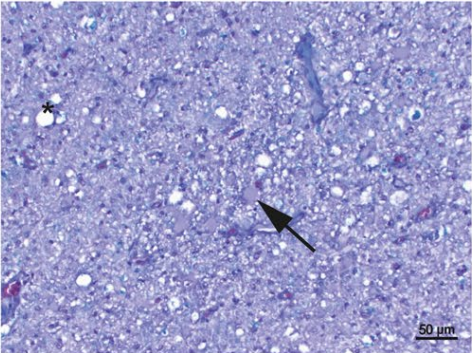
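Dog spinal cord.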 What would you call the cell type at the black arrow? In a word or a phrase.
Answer: Large gemistocytic astrocytes.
